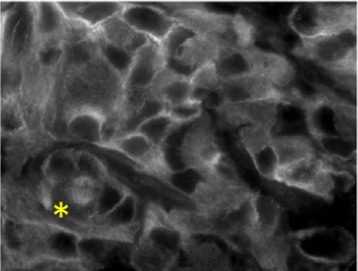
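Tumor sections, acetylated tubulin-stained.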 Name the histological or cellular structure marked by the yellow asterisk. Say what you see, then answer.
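The asterisk sits beside a rounded cell with brighter internal fibrous staining. No interphase nucleus outline is seen in that rounded cell.
Conclusion: mitotic spindle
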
